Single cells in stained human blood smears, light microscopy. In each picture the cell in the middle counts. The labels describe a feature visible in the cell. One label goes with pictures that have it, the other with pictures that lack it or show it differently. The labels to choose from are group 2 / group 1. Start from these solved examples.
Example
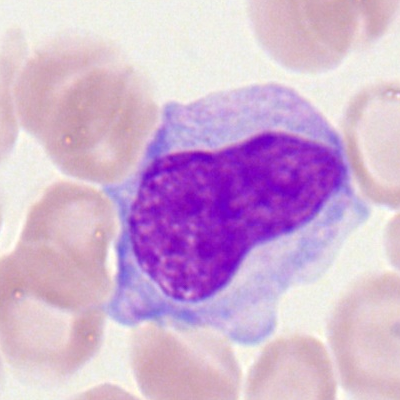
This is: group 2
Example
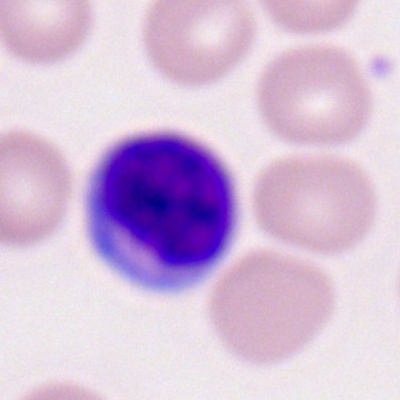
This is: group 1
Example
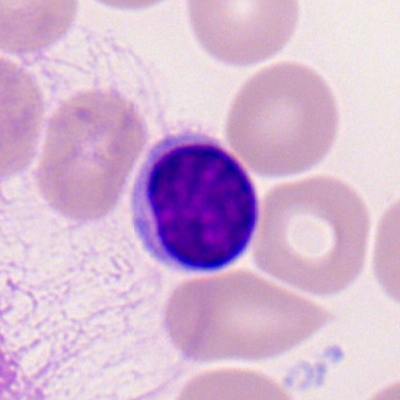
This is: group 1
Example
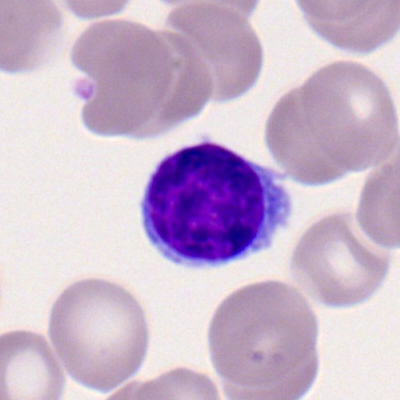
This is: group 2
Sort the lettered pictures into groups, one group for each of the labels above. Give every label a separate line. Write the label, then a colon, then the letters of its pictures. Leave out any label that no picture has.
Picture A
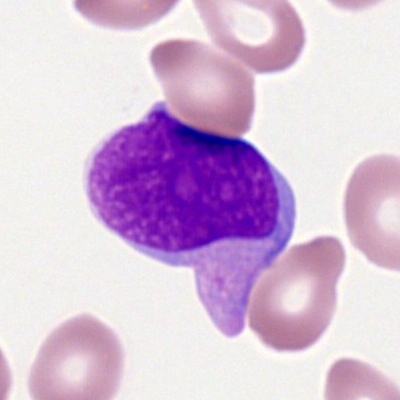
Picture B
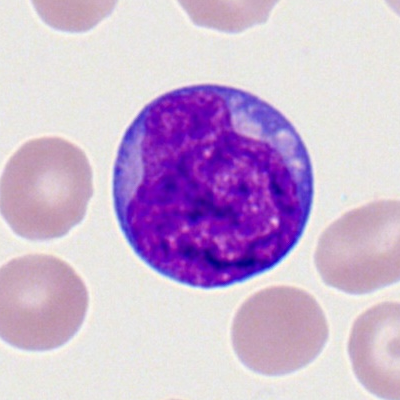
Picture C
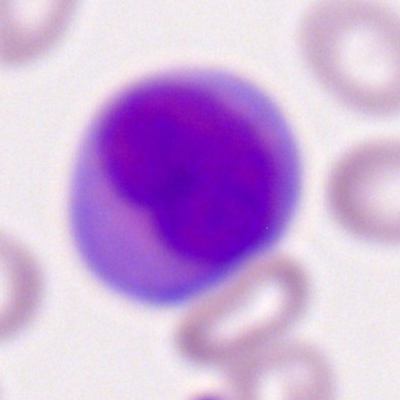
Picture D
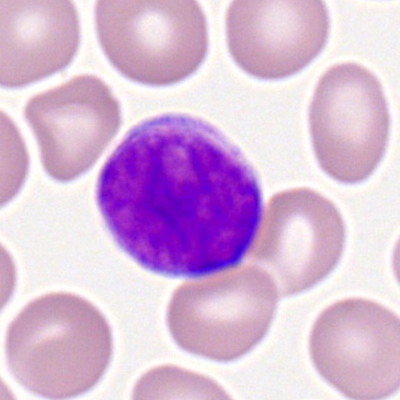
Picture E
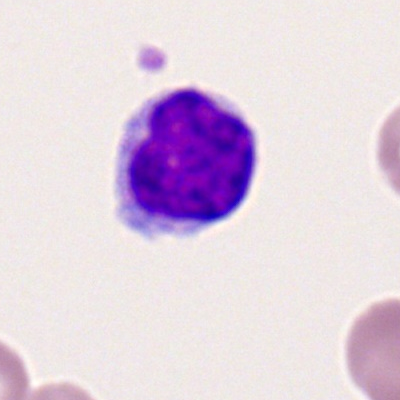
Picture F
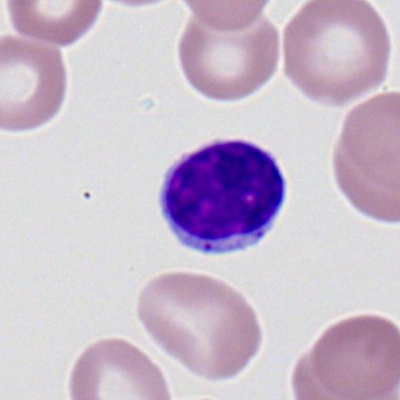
group 2: A, E
group 1: B, C, D, F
